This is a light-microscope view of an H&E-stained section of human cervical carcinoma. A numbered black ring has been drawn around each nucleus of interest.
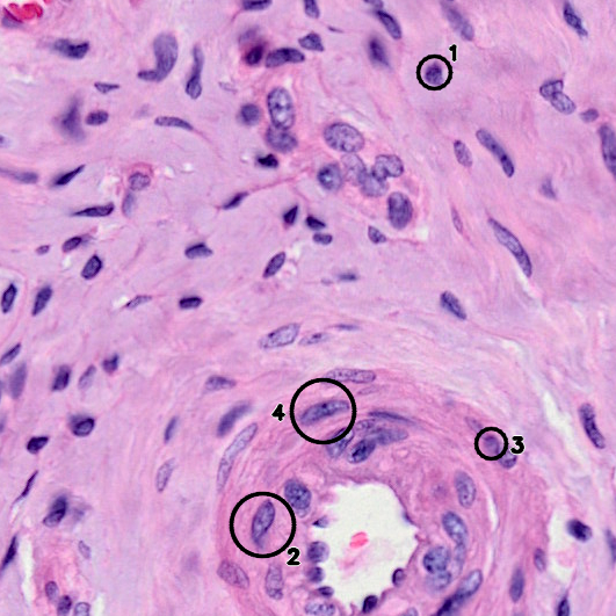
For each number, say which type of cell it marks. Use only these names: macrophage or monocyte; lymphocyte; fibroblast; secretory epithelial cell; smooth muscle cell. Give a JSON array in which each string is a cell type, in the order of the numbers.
["fibroblast", "smooth muscle cell", "smooth muscle cell", "smooth muscle cell"]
